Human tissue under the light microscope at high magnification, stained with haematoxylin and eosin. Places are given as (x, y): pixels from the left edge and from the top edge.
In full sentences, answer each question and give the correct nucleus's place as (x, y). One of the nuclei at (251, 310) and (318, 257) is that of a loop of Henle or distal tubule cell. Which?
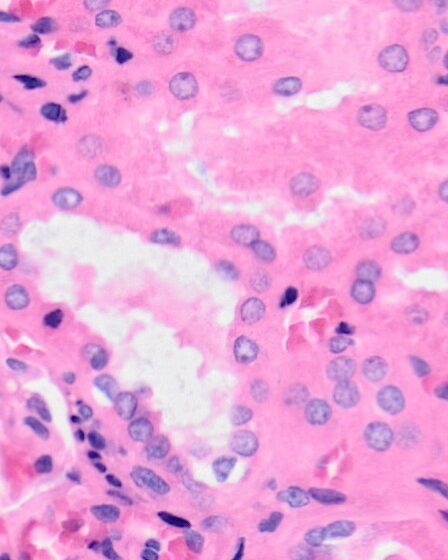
The member of the pair belonging to a loop of Henle or distal tubule cell is the nucleus at (251, 310).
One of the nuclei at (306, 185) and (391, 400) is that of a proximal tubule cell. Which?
The one at (306, 185) is the nucleus belonging to a proximal tubule cell, not the other one.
